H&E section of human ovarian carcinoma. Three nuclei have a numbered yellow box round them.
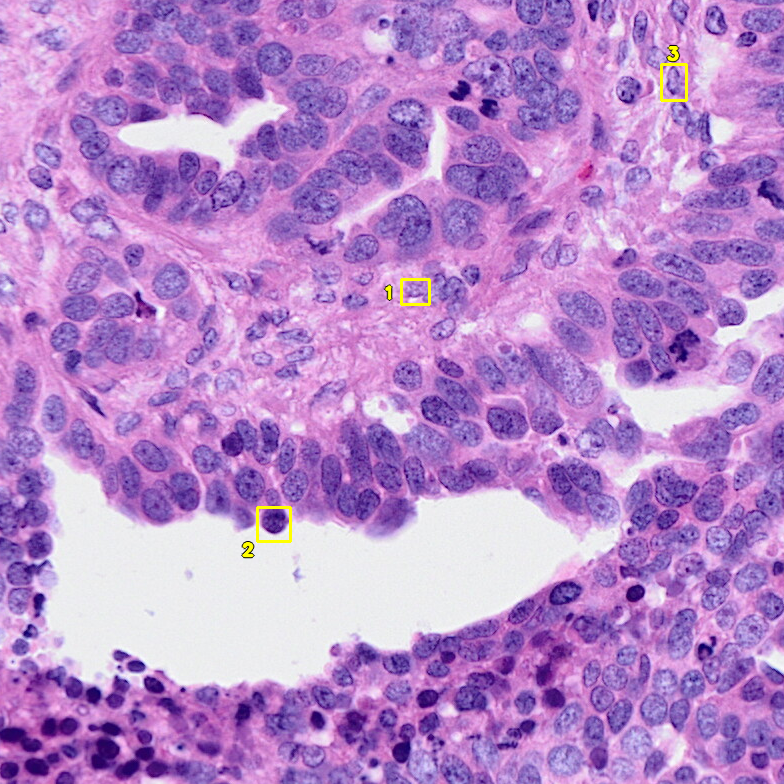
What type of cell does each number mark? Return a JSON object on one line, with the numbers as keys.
{"1": "fibroblast", "2": "carcinoma cell", "3": "fibroblast"}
